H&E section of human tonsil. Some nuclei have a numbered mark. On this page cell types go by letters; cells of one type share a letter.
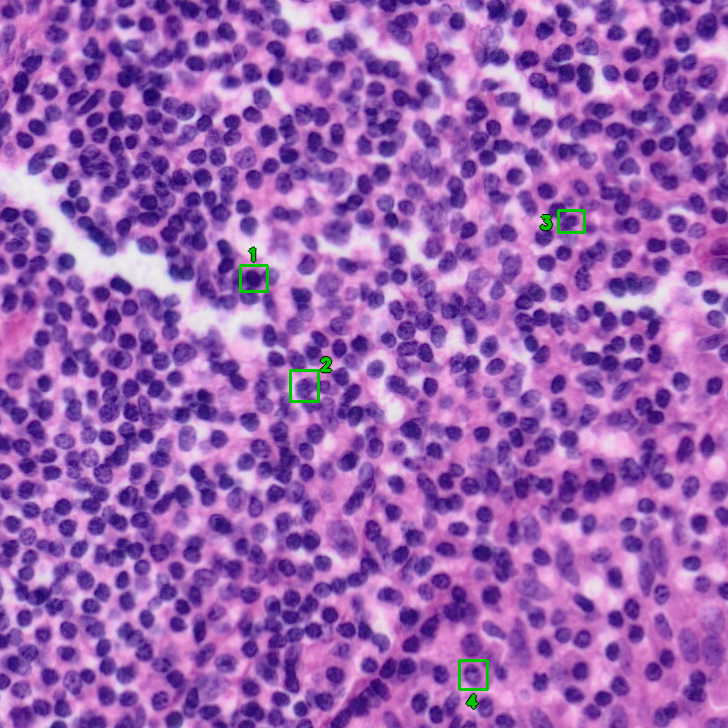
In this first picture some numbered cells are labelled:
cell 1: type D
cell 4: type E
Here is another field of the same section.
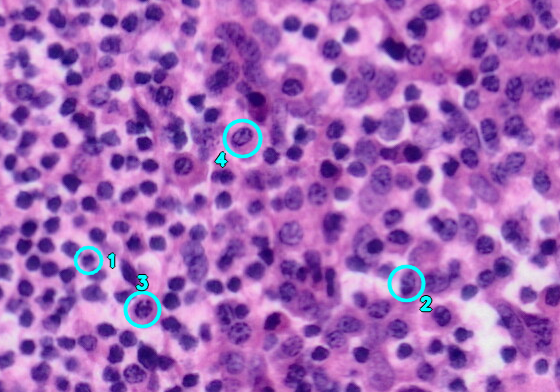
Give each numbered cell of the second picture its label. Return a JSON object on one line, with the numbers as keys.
{"1": "type D", "2": "type E", "3": "type E", "4": "type E"}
